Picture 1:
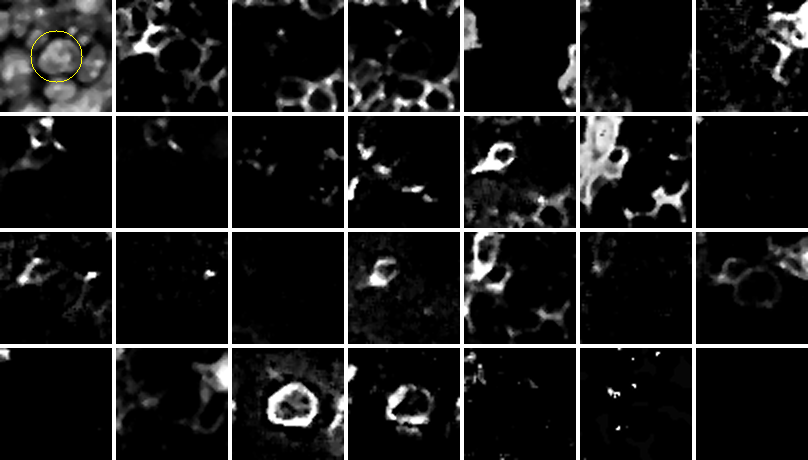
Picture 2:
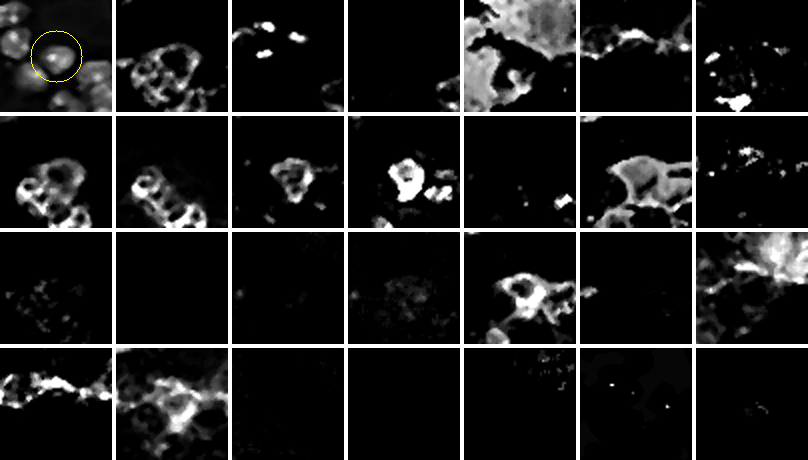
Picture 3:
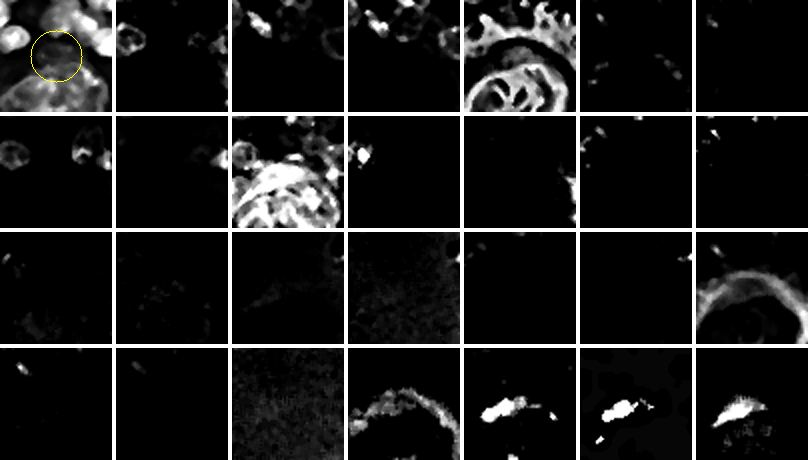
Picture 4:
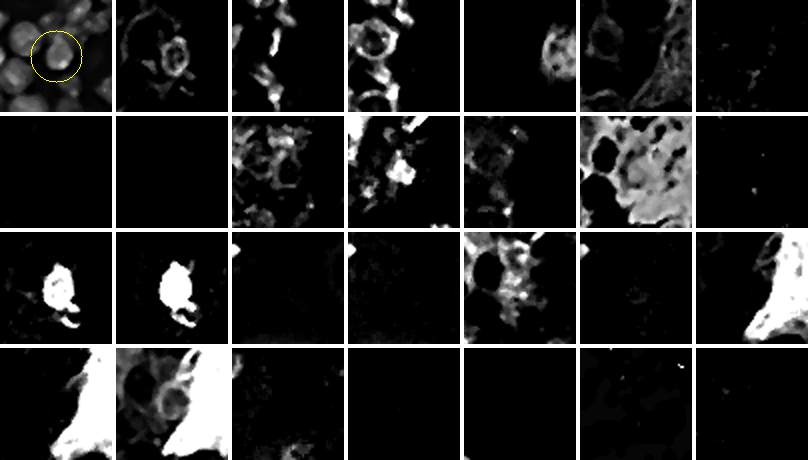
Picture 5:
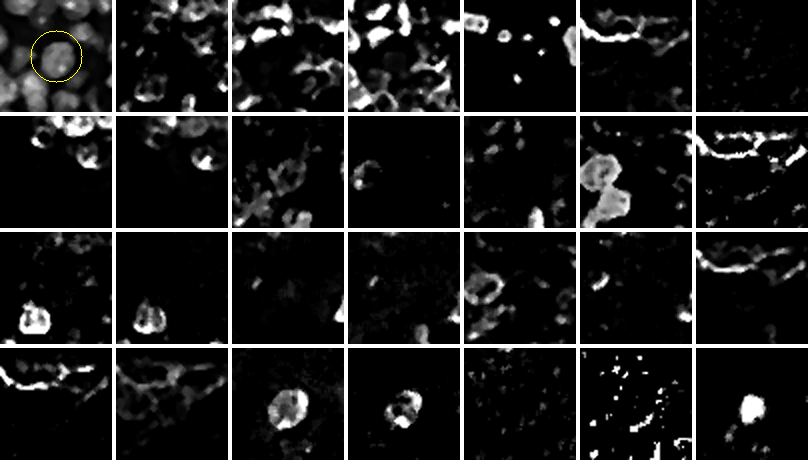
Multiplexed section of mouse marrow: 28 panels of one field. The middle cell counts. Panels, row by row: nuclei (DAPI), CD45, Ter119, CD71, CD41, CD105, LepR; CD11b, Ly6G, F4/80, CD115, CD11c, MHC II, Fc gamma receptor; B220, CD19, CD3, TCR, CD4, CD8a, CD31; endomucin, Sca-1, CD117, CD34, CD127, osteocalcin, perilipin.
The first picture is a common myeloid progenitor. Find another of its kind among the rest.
Picture 5.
